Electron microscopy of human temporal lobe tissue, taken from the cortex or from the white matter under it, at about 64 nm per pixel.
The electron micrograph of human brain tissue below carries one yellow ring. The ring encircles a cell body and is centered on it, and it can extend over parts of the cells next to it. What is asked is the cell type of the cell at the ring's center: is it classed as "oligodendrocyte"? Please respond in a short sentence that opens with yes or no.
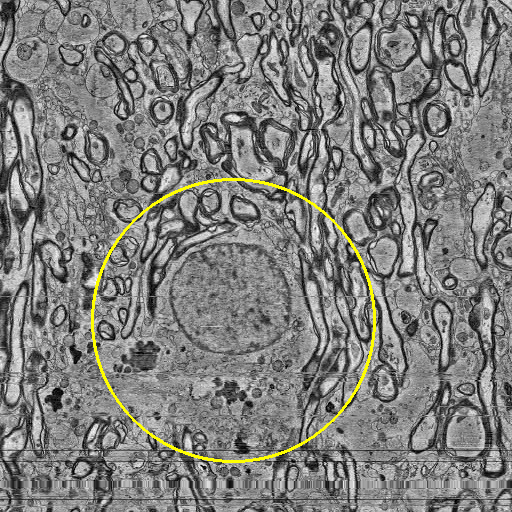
No, it is classed otherwise.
